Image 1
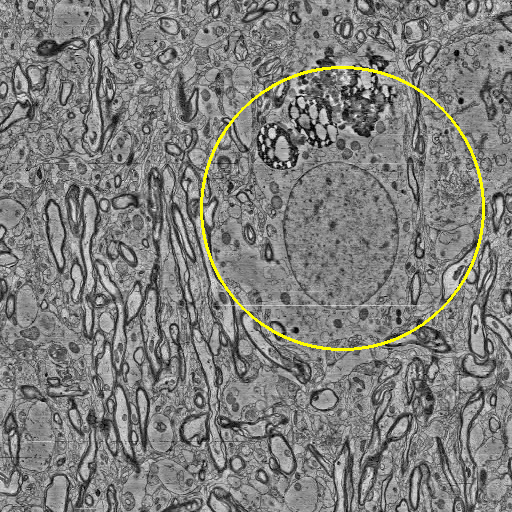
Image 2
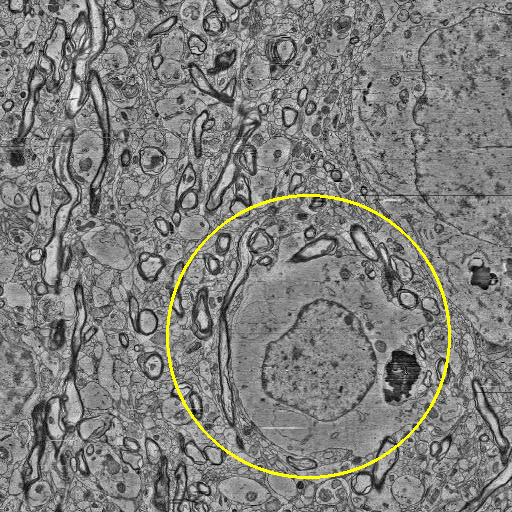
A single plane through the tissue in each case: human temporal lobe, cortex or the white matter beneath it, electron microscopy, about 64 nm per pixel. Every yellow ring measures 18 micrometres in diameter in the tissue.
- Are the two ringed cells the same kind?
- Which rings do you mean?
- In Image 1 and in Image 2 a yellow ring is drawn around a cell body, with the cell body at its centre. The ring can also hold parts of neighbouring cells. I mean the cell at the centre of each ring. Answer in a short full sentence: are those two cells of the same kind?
Yes, both cells are of the same kind.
